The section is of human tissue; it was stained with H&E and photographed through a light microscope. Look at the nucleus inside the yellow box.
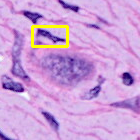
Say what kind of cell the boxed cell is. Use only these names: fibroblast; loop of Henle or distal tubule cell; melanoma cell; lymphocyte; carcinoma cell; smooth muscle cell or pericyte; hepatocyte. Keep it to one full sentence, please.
Within this tissue, the boxed cell is a fibroblast.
